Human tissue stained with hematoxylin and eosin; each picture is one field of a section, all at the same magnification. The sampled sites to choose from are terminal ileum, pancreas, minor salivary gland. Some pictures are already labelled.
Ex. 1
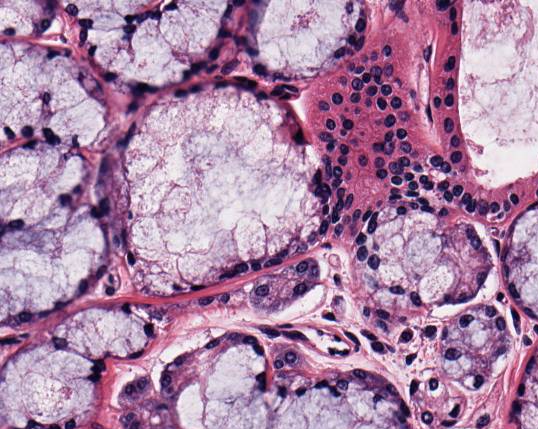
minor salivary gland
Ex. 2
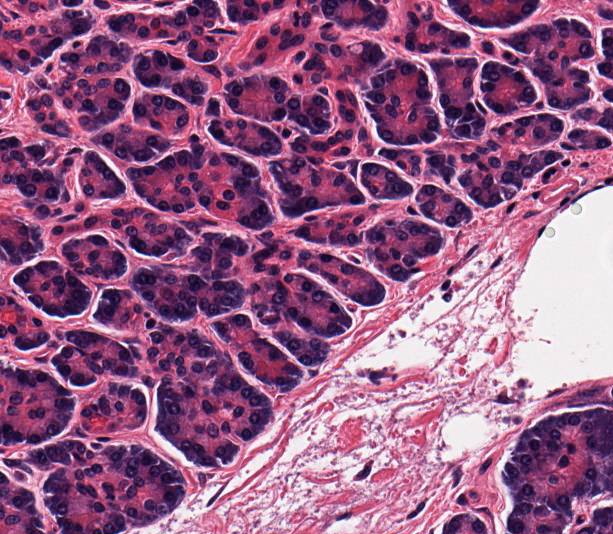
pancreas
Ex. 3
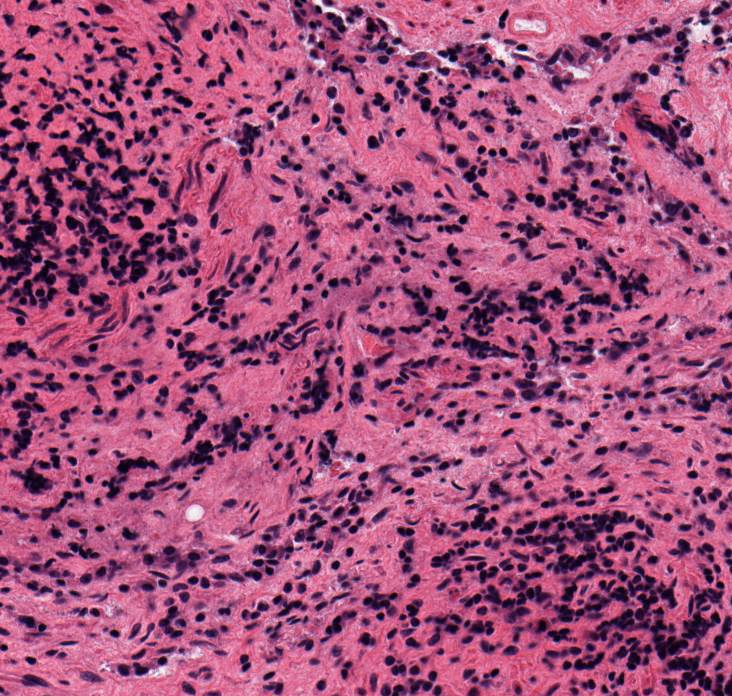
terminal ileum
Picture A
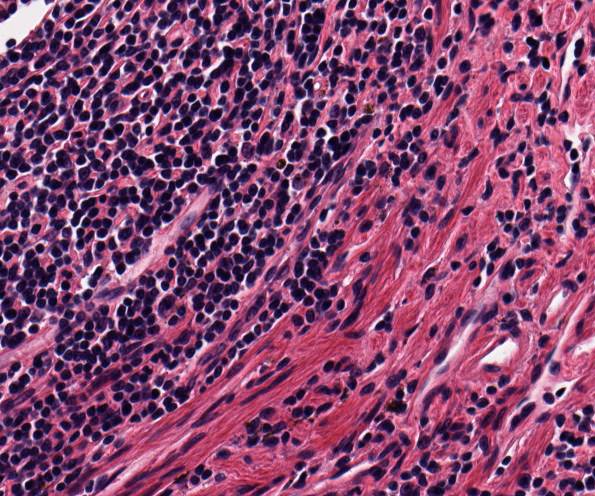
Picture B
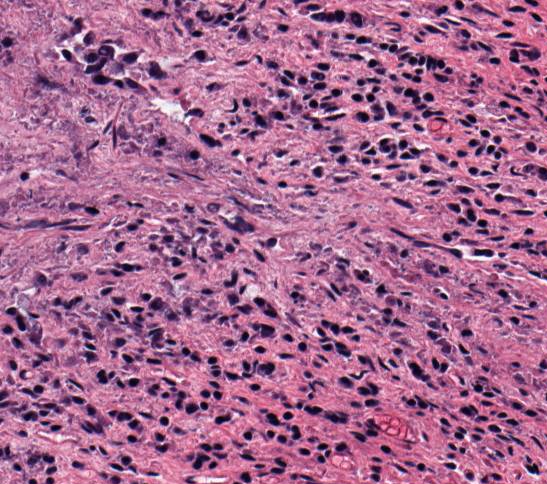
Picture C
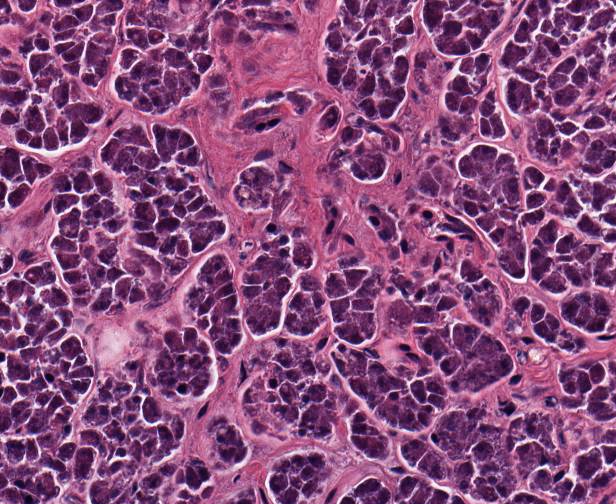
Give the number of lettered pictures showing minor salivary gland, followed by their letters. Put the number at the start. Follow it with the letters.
0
